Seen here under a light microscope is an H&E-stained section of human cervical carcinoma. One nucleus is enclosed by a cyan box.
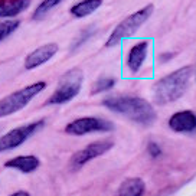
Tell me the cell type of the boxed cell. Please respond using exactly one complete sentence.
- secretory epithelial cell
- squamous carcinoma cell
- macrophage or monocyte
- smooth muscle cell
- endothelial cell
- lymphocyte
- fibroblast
In this section, the boxed cell is a fibroblast.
